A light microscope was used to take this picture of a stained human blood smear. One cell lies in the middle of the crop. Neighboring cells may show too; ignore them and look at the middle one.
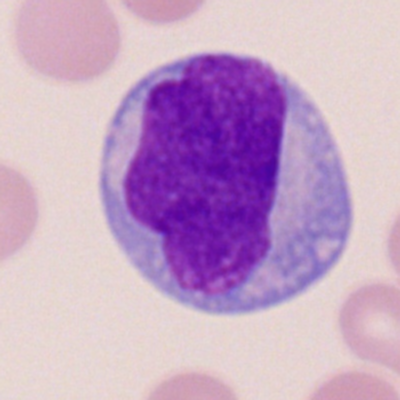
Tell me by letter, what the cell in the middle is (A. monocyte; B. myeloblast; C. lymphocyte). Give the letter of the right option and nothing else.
A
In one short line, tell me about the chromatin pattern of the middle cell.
The chromatin here is fine and lacks any coarse clumps.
